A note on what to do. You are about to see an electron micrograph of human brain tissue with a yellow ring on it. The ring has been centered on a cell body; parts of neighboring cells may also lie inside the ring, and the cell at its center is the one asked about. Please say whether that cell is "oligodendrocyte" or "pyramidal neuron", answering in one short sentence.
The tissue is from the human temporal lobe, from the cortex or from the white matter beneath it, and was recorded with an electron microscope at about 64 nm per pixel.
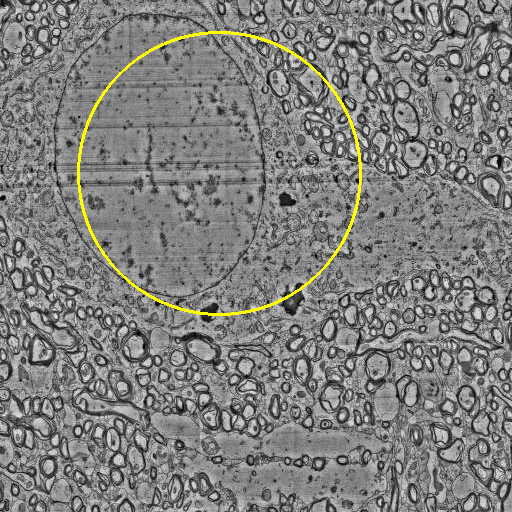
The yellow ring sits on a pyramidal neuron.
